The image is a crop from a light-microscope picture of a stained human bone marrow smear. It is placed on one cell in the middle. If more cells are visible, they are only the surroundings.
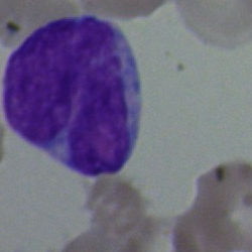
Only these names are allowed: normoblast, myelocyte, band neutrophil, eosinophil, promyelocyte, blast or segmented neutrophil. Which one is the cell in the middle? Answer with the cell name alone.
blast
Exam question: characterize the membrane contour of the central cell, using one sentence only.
Its surface contour is regular and smooth, without any protrusions.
